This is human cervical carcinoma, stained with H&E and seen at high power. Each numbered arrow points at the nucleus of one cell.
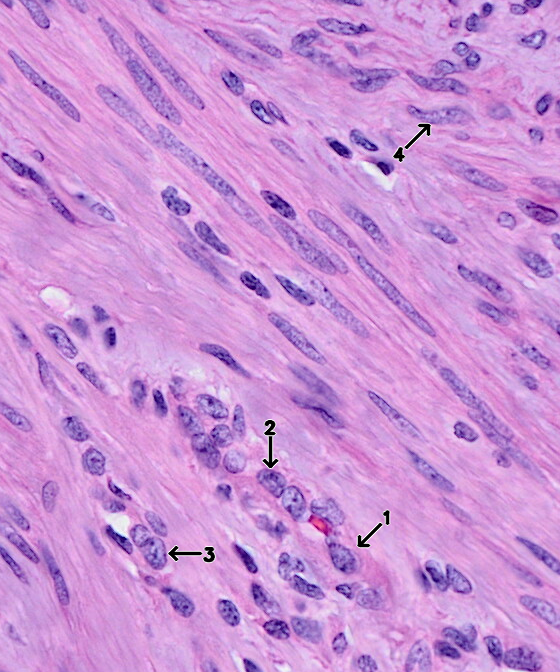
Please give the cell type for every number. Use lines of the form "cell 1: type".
cell 1: endothelial cell
cell 2: endothelial cell
cell 3: endothelial cell
cell 4: smooth muscle cell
